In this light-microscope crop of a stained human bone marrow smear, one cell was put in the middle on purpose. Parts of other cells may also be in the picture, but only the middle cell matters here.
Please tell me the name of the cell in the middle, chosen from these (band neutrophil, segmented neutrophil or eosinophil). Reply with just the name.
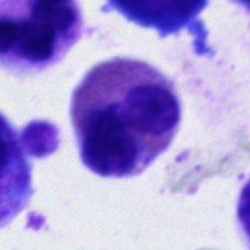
eosinophil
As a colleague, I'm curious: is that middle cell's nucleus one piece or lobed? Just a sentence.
This cell has a nucleus made up of two or more segments.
